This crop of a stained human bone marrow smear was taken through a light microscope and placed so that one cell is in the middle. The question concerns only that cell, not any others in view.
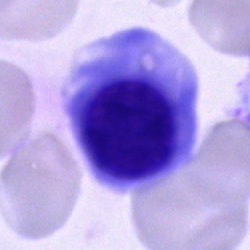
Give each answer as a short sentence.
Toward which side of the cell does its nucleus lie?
The nucleus sits off-centre, toward the bottom.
